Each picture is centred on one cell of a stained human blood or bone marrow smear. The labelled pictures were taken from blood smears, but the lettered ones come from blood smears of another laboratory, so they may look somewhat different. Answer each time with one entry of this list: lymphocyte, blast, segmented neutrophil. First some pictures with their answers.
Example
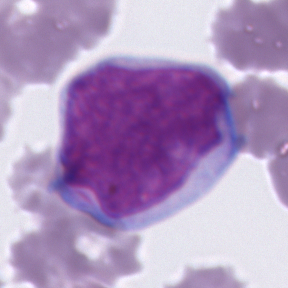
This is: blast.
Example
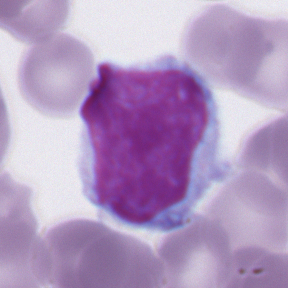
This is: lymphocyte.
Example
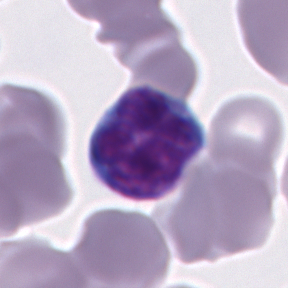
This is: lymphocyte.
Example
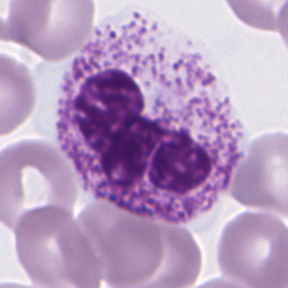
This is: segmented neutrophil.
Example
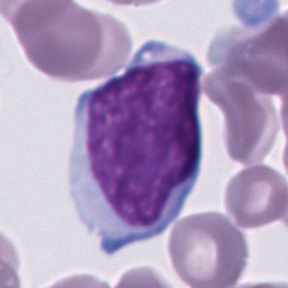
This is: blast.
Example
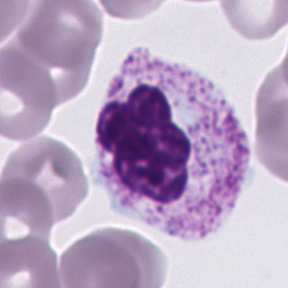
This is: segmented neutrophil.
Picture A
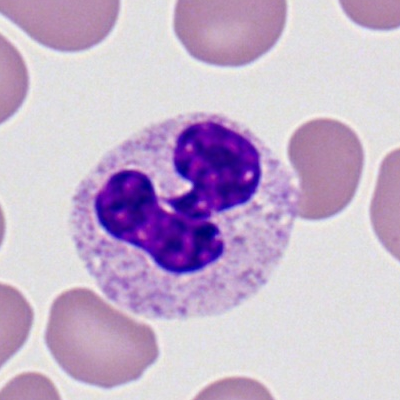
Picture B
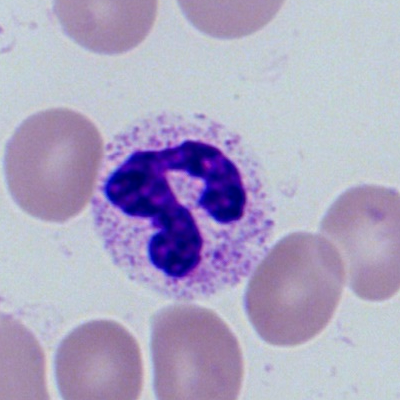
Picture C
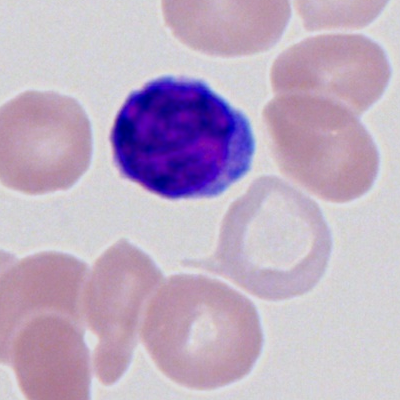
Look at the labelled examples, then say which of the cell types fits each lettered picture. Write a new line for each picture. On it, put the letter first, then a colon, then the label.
A: segmented neutrophil.
B: segmented neutrophil.
C: lymphocyte.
